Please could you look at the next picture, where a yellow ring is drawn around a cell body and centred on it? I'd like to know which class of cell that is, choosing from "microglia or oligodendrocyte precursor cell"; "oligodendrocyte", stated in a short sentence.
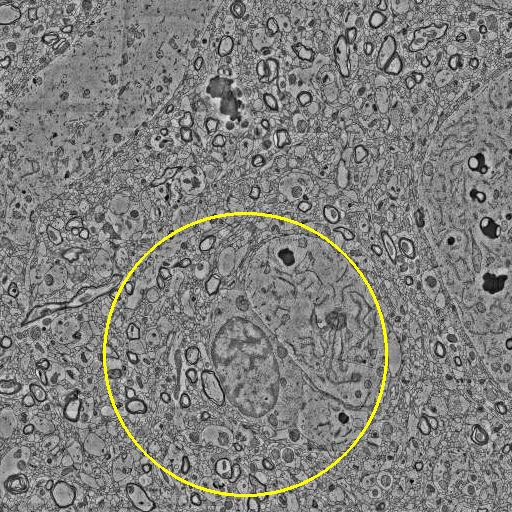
The ring's centre lies on an oligodendrocyte.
